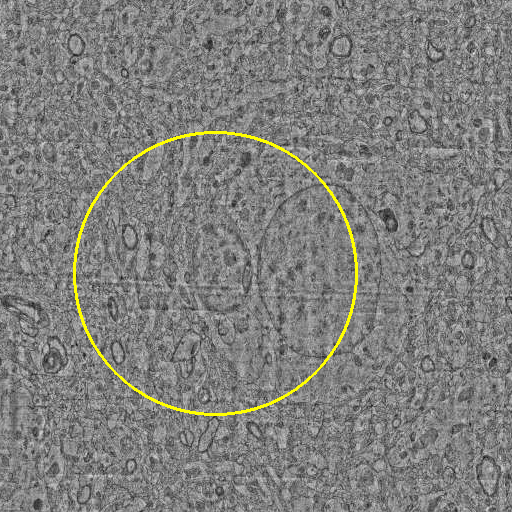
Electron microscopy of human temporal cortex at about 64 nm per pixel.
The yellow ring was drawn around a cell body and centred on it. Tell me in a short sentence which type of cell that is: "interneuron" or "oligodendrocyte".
The cell at the ring's centre is an oligodendrocyte.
